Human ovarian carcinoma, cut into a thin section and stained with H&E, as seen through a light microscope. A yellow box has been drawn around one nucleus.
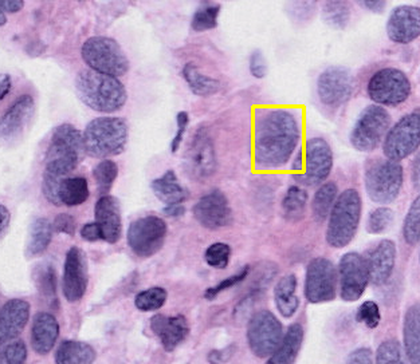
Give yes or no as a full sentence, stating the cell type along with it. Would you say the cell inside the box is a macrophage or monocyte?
No, the cell inside the box is classed as a carcinoma cell, not a macrophage or monocyte.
